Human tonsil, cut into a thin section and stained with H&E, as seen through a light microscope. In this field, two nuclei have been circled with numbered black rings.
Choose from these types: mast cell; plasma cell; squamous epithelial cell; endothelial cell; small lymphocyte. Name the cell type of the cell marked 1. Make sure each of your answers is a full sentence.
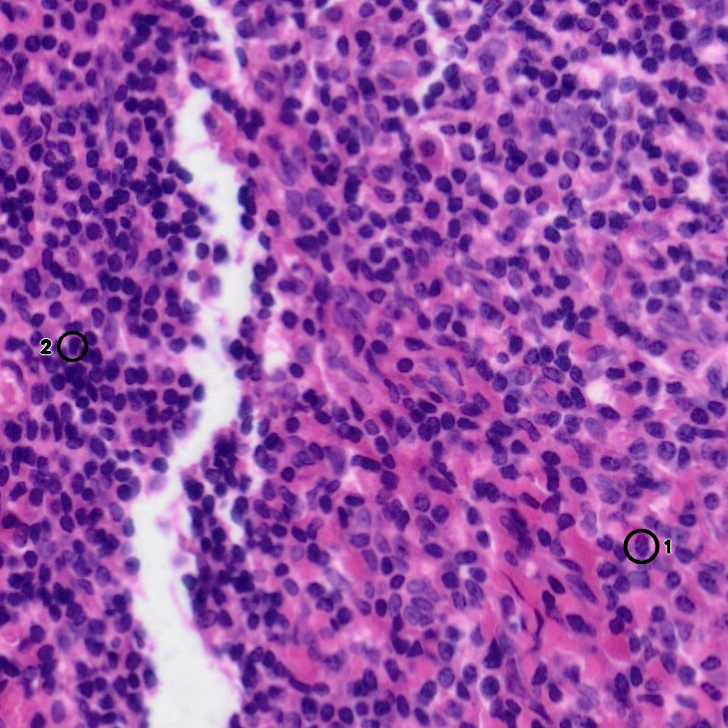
Within this field of view, the cell labelled 1 is a plasma cell.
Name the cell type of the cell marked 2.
The cell pointed out by number 2 is a small lymphocyte.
